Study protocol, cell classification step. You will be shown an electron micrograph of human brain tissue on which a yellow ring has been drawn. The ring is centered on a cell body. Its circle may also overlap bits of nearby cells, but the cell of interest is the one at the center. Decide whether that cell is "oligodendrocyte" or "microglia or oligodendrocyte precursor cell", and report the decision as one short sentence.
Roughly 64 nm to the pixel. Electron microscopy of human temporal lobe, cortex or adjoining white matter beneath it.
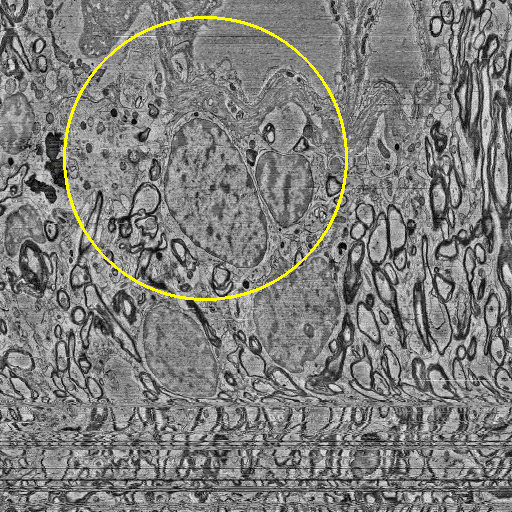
The marked cell is a microglial cell or oligodendrocyte precursor cell.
